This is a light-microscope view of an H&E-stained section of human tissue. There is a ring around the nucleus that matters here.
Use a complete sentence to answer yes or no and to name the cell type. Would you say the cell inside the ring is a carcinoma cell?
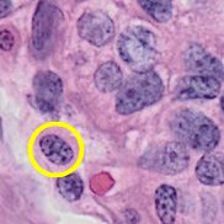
No, the cell inside the ring is a mast cell rather than a carcinoma cell in this section.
